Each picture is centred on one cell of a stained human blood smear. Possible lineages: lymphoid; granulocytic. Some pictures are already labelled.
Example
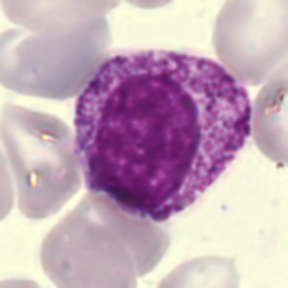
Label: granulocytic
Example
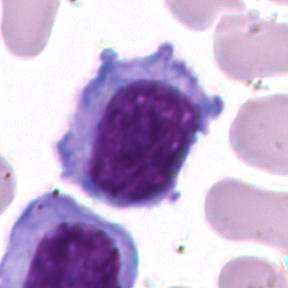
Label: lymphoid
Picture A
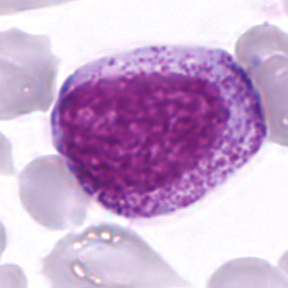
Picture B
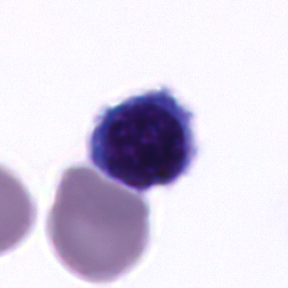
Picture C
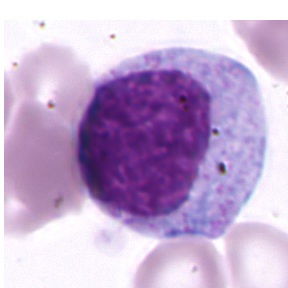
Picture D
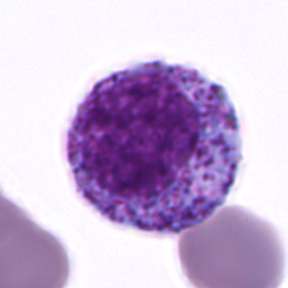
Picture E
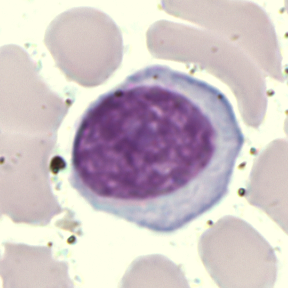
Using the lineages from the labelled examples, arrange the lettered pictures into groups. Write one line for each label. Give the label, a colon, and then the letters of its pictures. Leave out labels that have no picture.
lymphoid: B, E
granulocytic: A, C, D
